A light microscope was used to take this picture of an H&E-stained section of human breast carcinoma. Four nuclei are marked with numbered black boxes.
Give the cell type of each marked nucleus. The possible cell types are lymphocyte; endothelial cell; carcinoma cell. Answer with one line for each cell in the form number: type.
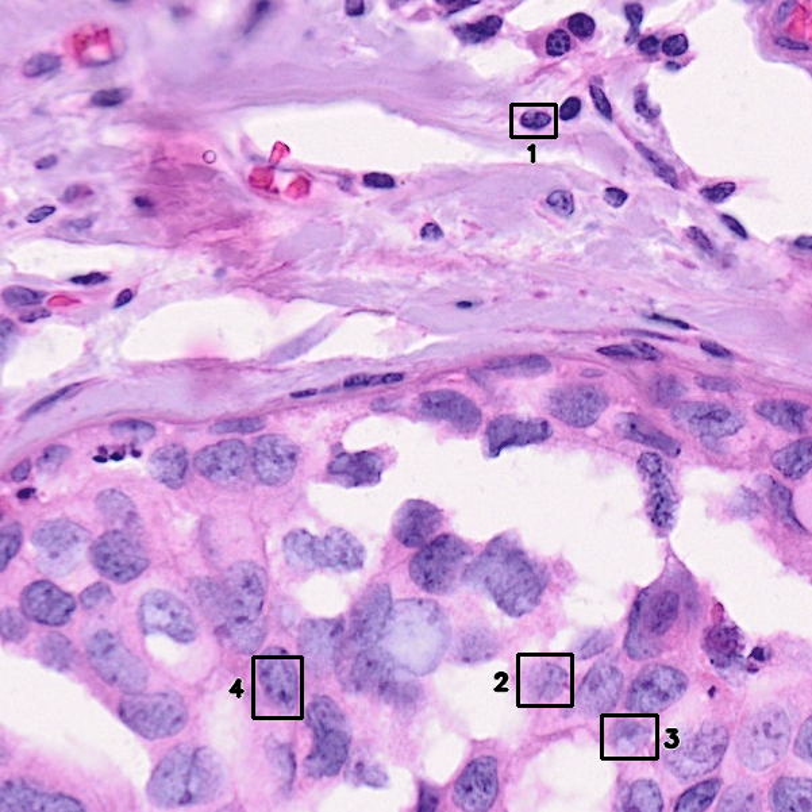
1: lymphocyte
2: carcinoma cell
3: carcinoma cell
4: carcinoma cell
